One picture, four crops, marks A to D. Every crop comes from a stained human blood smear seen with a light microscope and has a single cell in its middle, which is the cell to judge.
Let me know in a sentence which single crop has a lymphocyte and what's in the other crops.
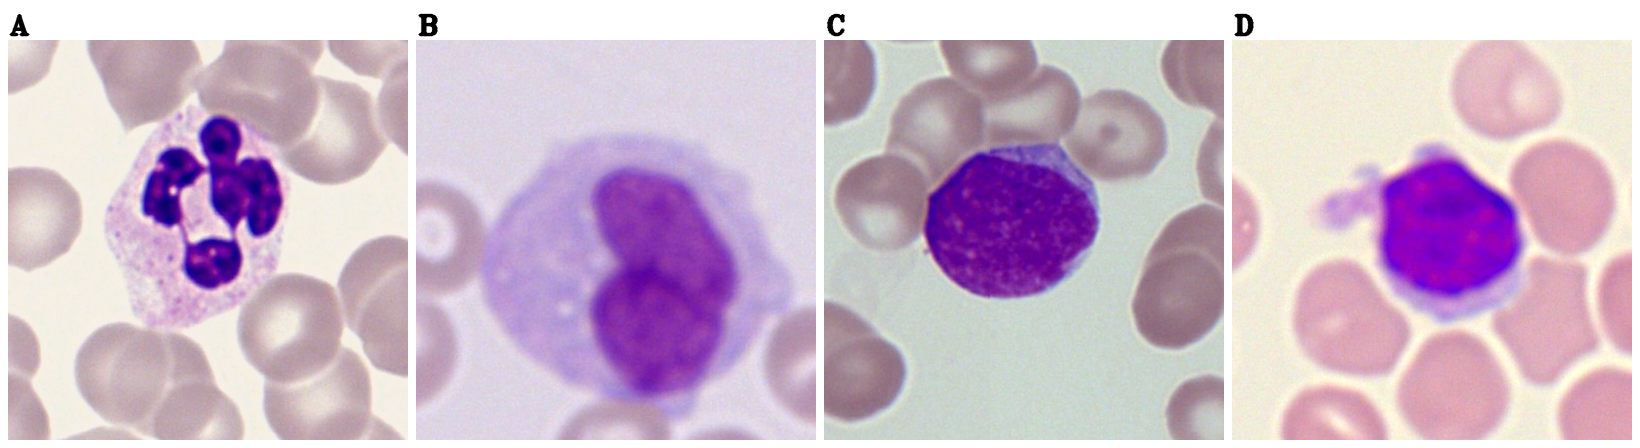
Crop D is to be called a lymphocyte, while crop A is a segmented neutrophil, crop B is a monocyte and crop C is a myeloblast.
